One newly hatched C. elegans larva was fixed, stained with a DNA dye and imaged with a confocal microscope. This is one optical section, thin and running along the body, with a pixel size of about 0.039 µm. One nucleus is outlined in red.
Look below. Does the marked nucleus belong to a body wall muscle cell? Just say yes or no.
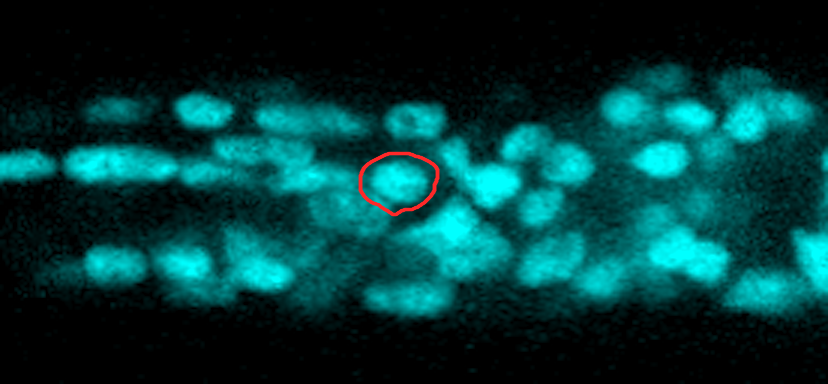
no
